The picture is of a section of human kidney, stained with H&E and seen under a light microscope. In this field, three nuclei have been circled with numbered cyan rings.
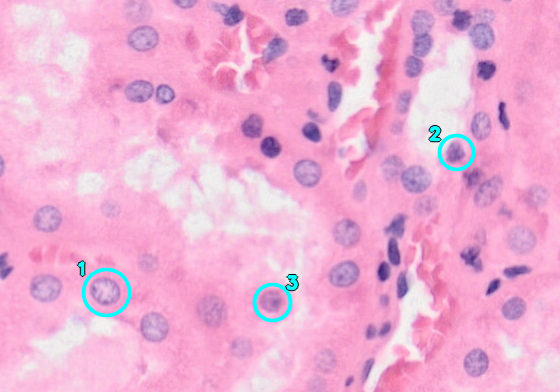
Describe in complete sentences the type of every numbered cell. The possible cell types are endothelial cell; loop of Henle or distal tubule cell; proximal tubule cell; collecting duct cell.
Cells 1 and 3 are proximal tubule cells. Cell 2 is a loop of Henle or distal tubule cell.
